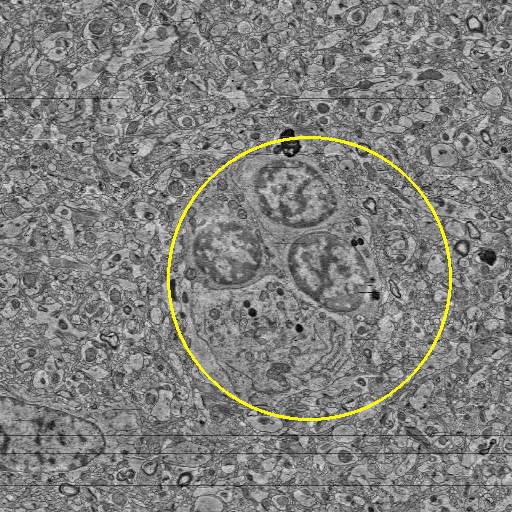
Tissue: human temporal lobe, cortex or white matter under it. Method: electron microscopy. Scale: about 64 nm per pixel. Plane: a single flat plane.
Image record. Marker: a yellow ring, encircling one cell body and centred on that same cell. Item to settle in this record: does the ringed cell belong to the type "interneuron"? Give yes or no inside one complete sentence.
No, in the picture, the cell centred within the yellow ring is of a different type.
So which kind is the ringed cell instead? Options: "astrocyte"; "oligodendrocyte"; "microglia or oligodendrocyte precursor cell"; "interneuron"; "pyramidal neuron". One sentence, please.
What the ring is centred on is an oligodendrocyte.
